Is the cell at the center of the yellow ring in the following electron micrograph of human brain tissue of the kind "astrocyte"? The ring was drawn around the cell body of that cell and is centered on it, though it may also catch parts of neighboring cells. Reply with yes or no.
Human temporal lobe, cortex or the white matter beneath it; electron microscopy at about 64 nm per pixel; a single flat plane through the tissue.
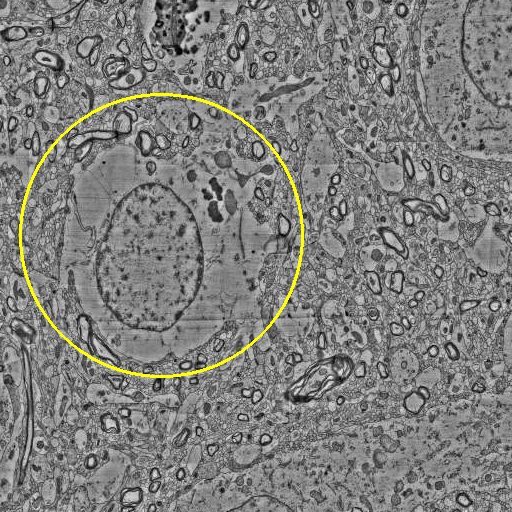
Yes, that is its kind.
